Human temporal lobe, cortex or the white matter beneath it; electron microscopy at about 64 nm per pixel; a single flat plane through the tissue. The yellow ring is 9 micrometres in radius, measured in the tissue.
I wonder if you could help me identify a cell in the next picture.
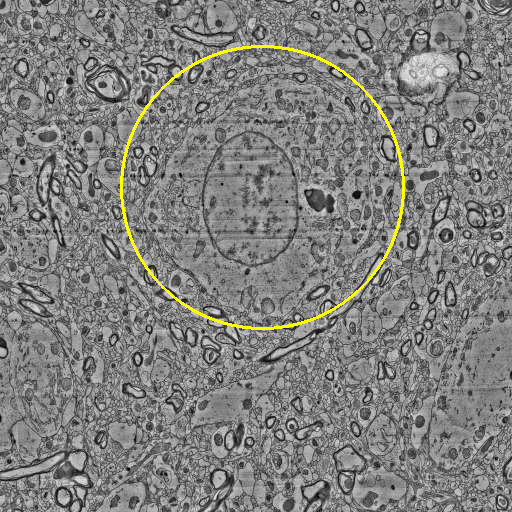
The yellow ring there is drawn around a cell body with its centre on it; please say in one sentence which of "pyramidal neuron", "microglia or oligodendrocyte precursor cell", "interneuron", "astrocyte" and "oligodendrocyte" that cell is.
The yellow ring is centred on an interneuron.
